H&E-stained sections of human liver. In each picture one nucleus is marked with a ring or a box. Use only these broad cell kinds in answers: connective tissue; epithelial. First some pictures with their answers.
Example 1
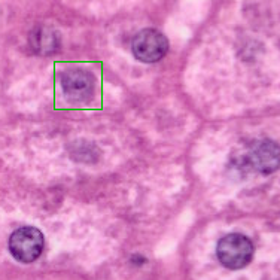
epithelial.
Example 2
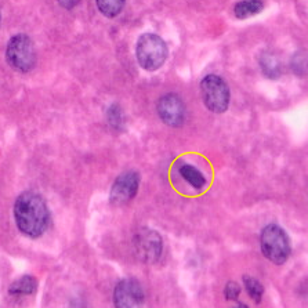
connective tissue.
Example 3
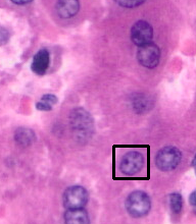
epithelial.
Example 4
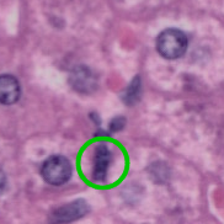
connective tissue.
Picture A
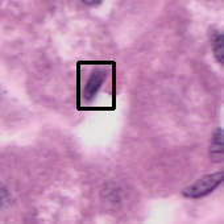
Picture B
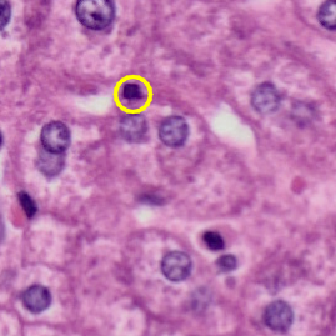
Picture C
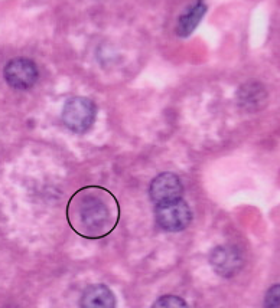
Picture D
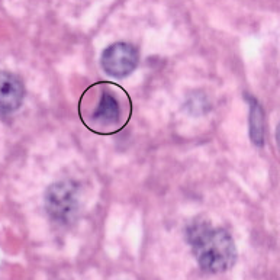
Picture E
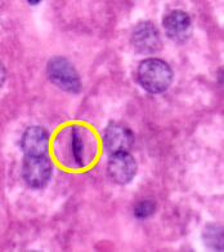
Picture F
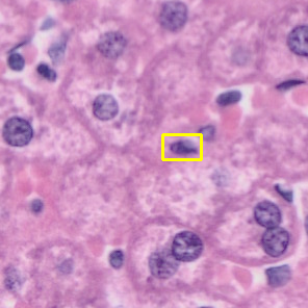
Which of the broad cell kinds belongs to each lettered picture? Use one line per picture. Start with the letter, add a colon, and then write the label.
A: connective tissue.
B: connective tissue.
C: epithelial.
D: connective tissue.
E: connective tissue.
F: connective tissue.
